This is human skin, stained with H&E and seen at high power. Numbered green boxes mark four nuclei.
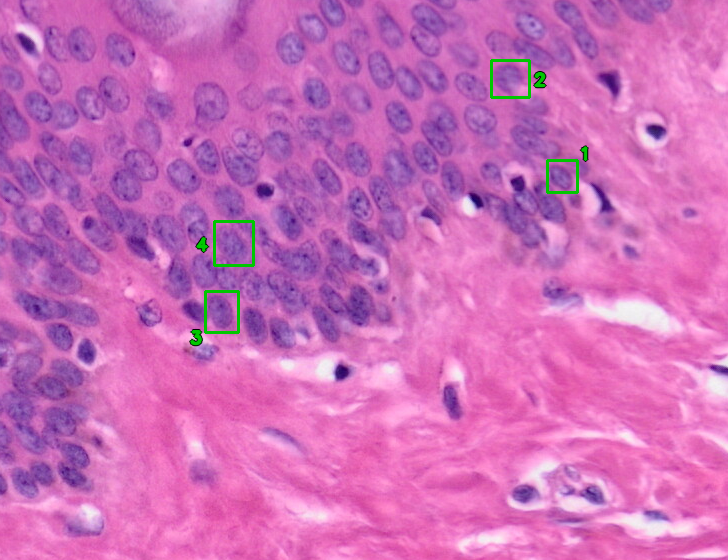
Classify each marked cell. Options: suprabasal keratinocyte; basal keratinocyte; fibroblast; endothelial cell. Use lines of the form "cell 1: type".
cell 1: basal keratinocyte
cell 2: basal keratinocyte
cell 3: basal keratinocyte
cell 4: suprabasal keratinocyte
